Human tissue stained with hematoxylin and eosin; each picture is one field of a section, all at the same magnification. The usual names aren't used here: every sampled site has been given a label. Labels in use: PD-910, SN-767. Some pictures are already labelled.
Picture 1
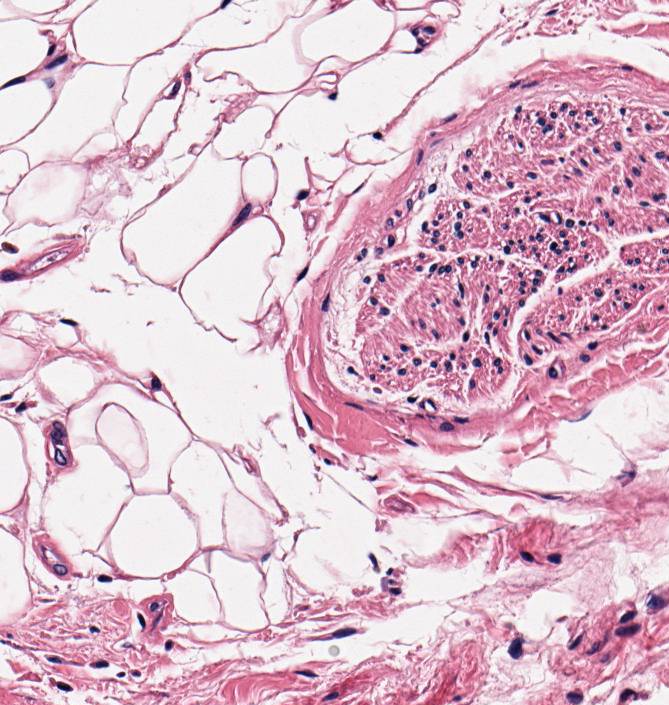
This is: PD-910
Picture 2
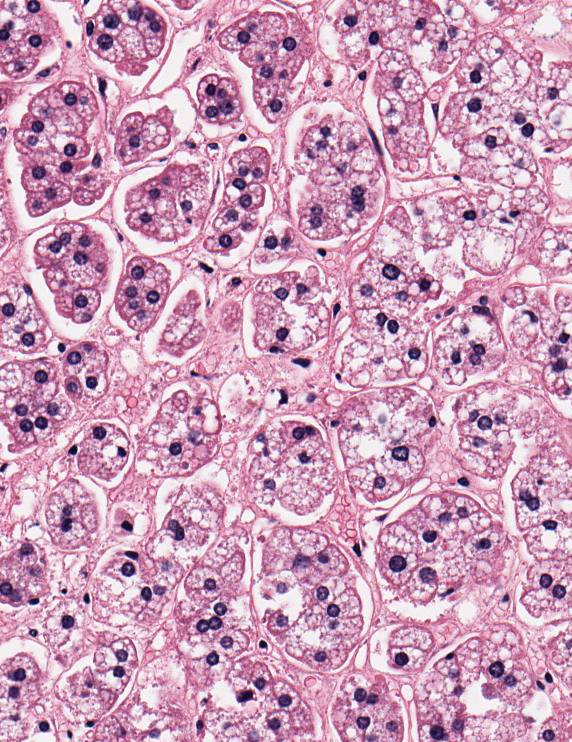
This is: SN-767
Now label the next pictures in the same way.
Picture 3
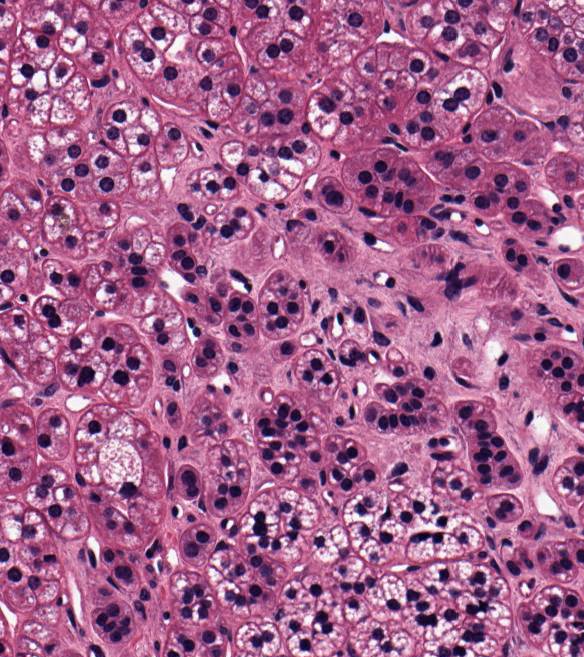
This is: SN-767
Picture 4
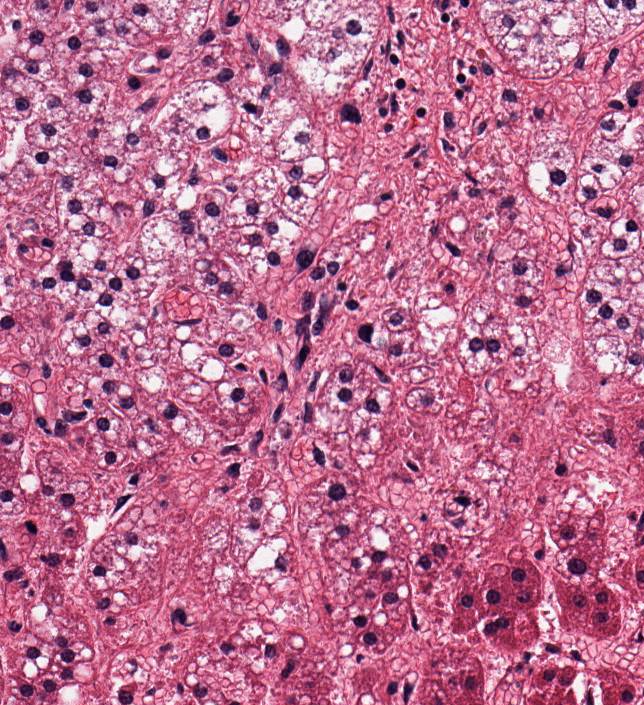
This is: SN-767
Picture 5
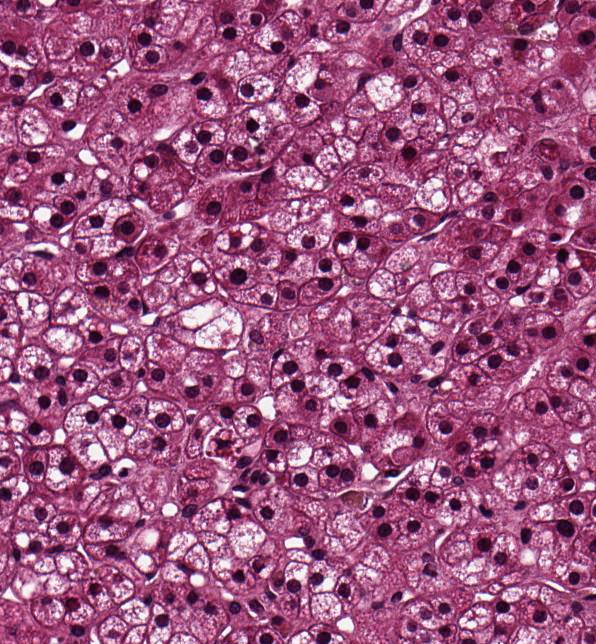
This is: SN-767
